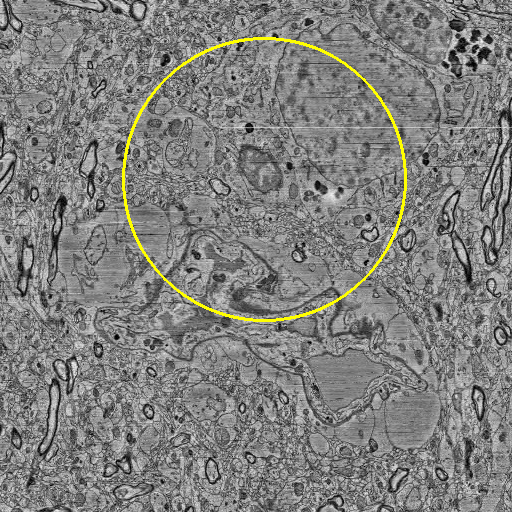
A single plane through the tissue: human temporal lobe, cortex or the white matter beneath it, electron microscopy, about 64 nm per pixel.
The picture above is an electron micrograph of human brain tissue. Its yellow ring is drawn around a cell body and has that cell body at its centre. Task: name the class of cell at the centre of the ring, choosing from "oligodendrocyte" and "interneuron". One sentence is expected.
The ring surrounds the body of an oligodendrocyte.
